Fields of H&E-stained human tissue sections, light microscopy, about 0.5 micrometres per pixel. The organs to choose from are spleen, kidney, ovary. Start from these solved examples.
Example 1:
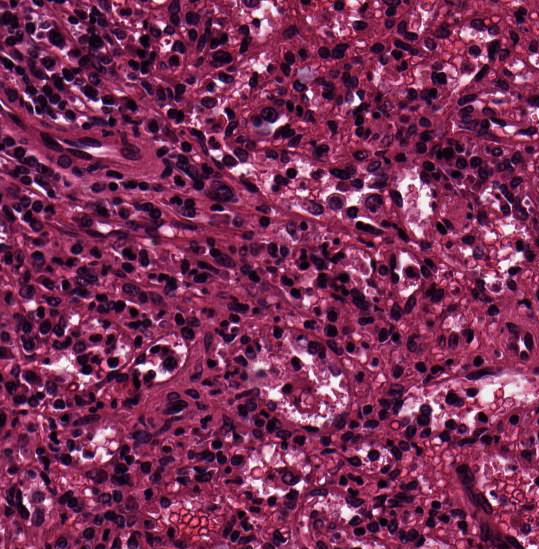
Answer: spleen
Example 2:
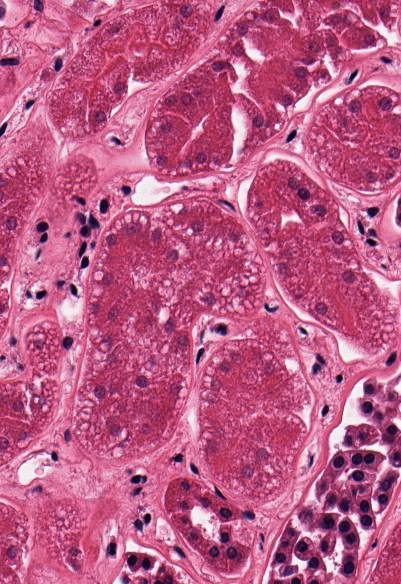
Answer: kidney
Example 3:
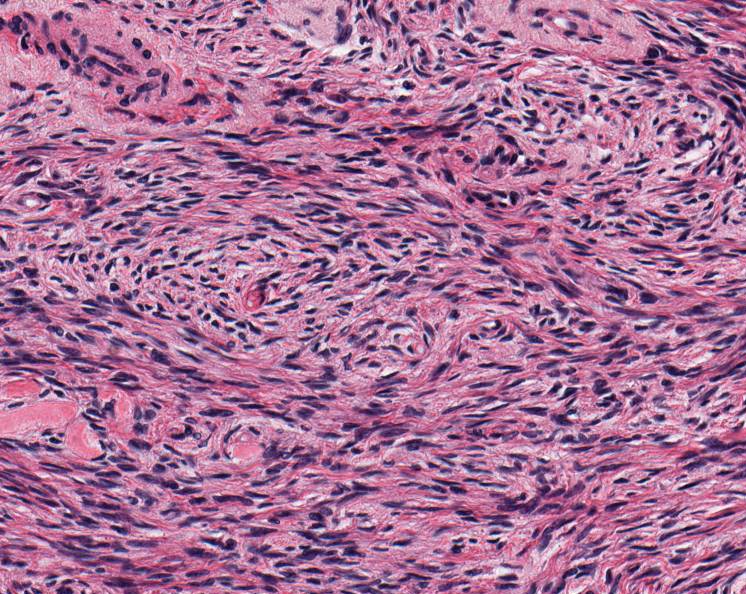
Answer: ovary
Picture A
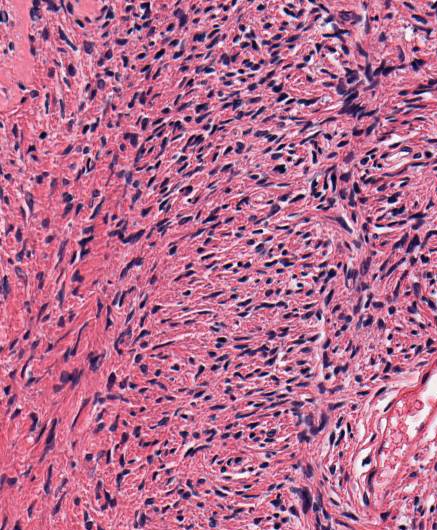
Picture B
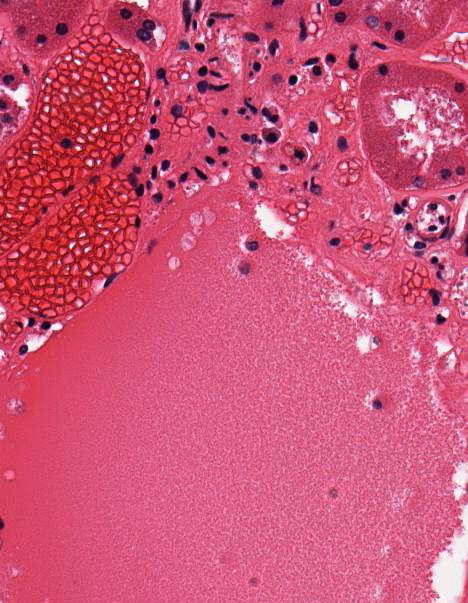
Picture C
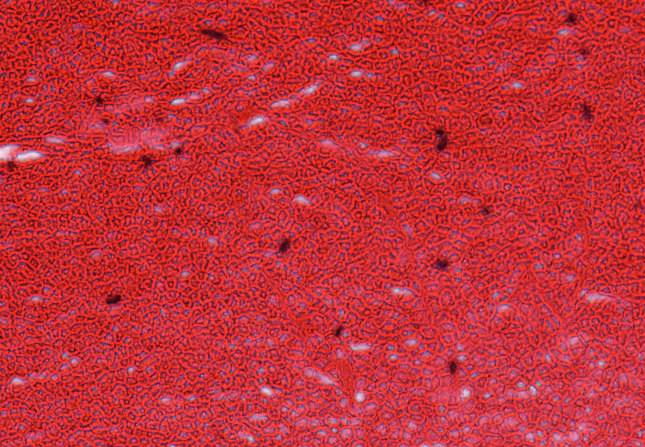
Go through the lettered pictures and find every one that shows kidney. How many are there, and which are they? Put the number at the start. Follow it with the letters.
1, namely B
